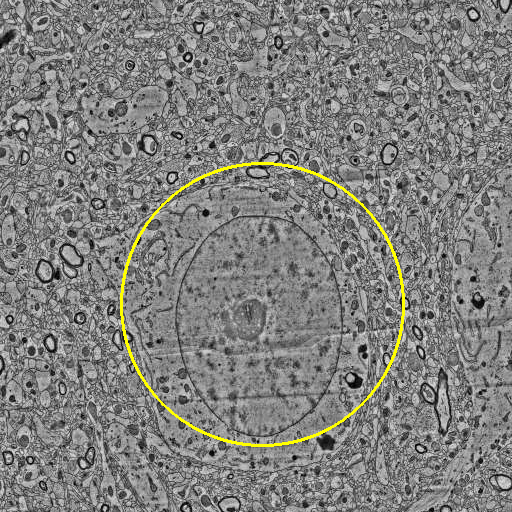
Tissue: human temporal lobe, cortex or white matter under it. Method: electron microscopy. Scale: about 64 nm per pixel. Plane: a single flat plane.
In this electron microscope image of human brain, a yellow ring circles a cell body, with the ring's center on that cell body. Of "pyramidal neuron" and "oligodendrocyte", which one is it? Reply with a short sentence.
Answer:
It is a pyramidal neuron at the center of the ring.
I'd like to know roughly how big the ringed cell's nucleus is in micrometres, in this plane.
About 14 micrometres by about 11 micrometres in this plane.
